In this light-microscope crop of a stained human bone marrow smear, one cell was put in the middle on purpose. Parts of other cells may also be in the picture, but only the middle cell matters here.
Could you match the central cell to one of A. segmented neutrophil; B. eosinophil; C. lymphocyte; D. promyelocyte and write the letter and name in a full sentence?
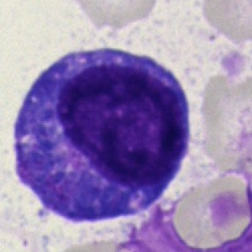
Option D is correct in naming the middle cell a promyelocyte.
